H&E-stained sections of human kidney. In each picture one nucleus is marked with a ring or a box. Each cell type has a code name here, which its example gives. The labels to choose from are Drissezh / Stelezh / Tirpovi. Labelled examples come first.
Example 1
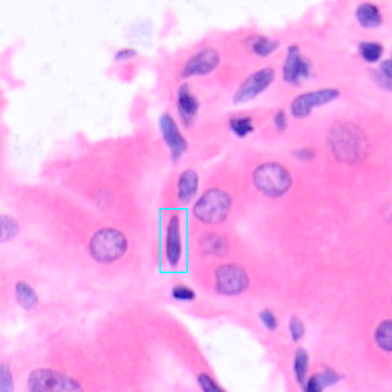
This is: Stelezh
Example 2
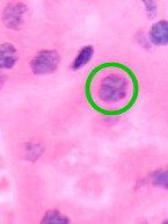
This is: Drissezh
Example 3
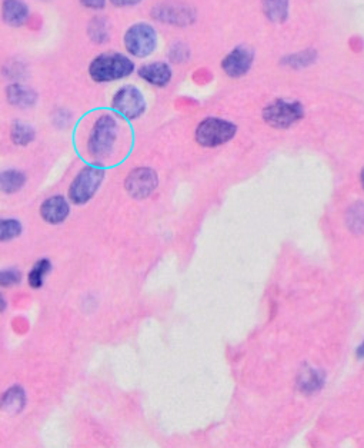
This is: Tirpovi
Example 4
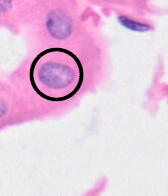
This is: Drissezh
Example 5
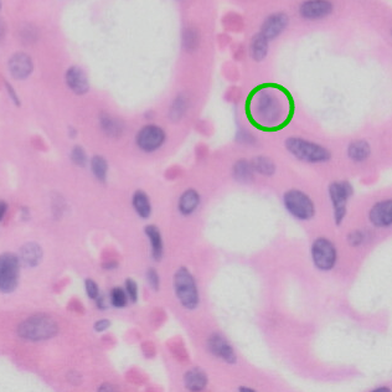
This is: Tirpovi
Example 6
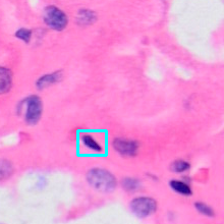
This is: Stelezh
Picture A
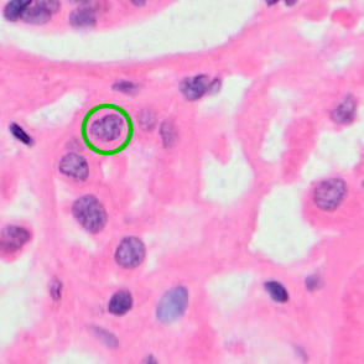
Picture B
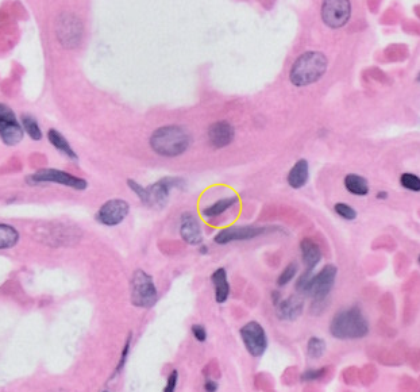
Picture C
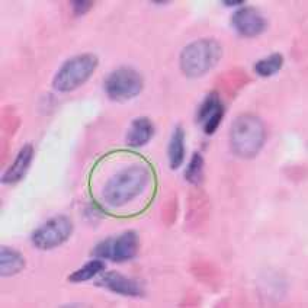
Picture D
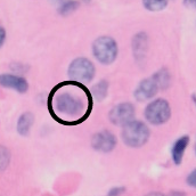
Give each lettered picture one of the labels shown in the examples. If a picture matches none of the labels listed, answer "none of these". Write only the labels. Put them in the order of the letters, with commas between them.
Tirpovi, Stelezh, Tirpovi, Tirpovi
